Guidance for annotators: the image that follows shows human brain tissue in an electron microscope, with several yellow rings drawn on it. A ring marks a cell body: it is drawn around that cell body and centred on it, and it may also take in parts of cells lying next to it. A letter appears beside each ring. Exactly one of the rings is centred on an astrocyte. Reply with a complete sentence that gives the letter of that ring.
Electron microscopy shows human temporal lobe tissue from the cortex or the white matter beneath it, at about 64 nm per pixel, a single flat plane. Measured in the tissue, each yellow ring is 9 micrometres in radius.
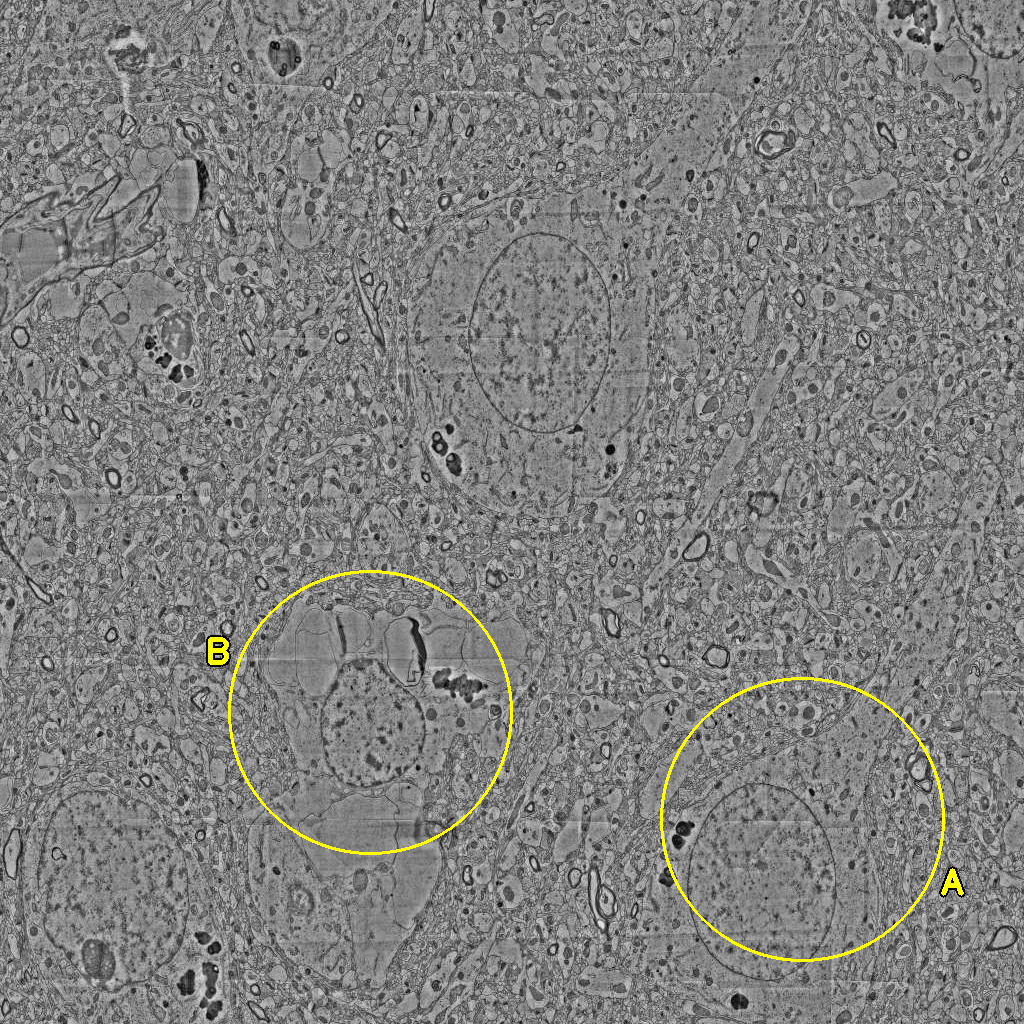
The ring lettered B is centred on that cell.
